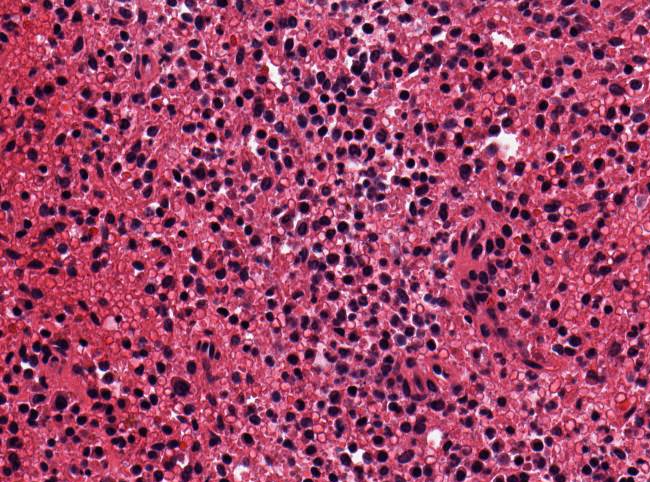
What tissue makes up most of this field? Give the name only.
red pulp of the spleen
